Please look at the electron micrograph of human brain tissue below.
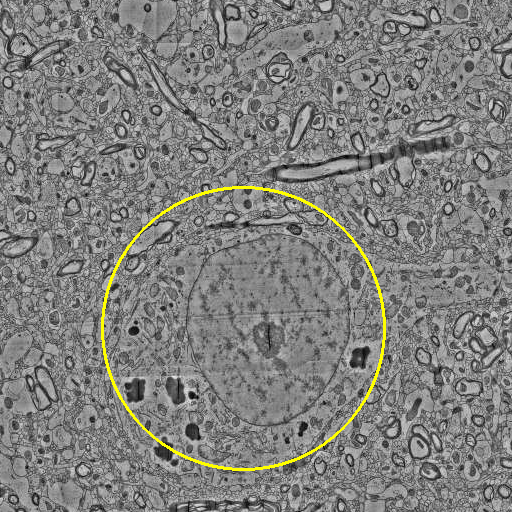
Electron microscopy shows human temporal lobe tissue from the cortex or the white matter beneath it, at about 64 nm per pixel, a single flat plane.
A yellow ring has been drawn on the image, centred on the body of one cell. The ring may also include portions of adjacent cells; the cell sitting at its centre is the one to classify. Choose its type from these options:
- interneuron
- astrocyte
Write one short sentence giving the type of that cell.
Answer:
The cell in the middle of the ring is an interneuron.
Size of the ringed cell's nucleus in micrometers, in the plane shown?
In this plane the nucleus spans approximately 13 by 11 micrometers.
